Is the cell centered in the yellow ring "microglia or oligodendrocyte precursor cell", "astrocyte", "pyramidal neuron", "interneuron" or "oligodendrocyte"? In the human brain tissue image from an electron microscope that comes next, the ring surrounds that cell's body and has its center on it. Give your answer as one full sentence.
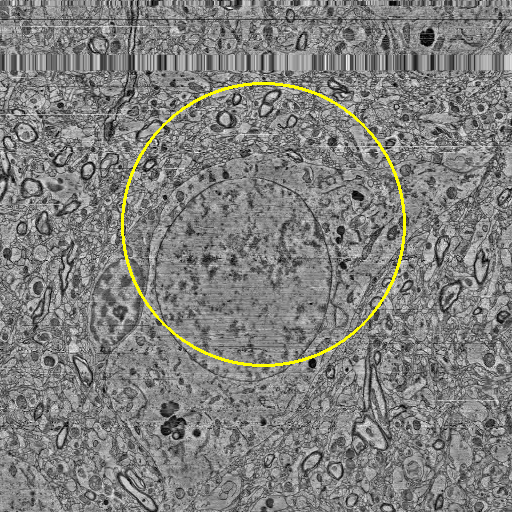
The cell at the center of the yellow ring is a pyramidal neuron in the micrograph.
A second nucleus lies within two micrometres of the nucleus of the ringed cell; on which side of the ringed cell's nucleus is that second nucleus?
That second nucleus is to the left of it.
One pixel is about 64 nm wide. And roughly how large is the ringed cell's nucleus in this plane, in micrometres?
In this plane, about 13 micrometres in length and 11 in width.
